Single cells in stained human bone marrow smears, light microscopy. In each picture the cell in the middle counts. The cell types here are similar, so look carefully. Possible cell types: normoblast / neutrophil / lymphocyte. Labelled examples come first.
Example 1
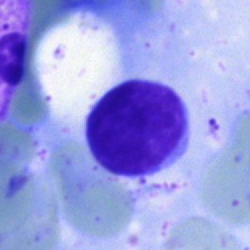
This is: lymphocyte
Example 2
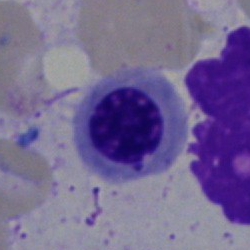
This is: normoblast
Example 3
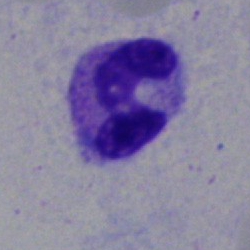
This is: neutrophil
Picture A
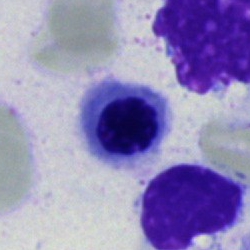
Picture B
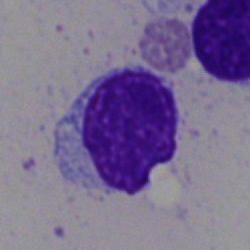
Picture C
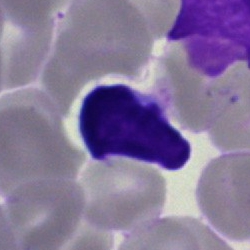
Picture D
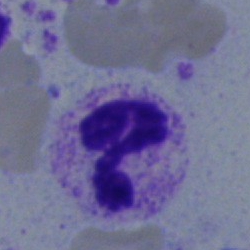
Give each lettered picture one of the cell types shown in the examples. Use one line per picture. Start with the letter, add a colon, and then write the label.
A: normoblast
B: lymphocyte
C: lymphocyte
D: neutrophil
